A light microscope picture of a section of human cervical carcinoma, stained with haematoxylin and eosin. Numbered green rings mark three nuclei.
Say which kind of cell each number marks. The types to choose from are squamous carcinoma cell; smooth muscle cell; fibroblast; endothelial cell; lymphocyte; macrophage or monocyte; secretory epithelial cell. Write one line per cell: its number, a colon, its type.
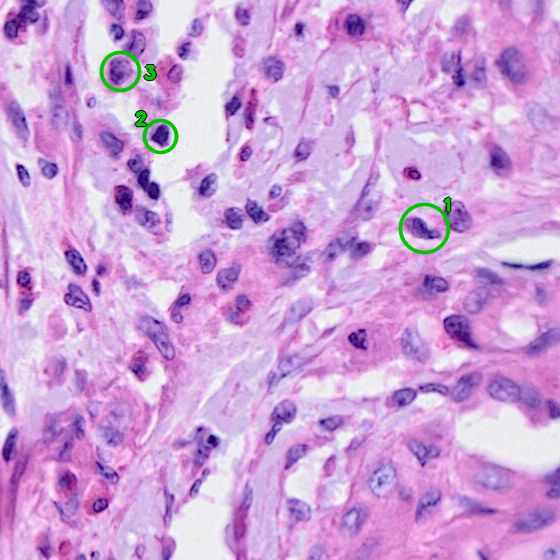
1: lymphocyte
2: lymphocyte
3: macrophage or monocyte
